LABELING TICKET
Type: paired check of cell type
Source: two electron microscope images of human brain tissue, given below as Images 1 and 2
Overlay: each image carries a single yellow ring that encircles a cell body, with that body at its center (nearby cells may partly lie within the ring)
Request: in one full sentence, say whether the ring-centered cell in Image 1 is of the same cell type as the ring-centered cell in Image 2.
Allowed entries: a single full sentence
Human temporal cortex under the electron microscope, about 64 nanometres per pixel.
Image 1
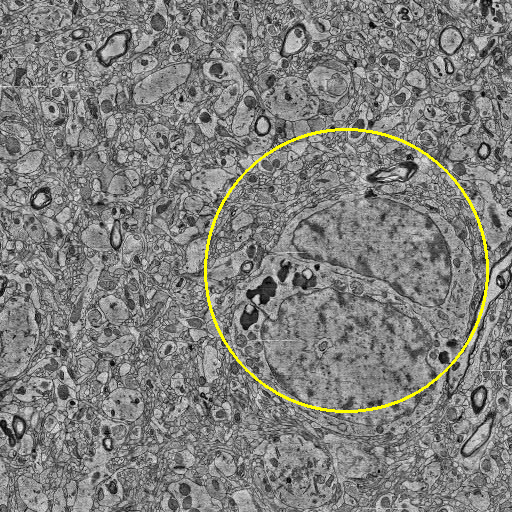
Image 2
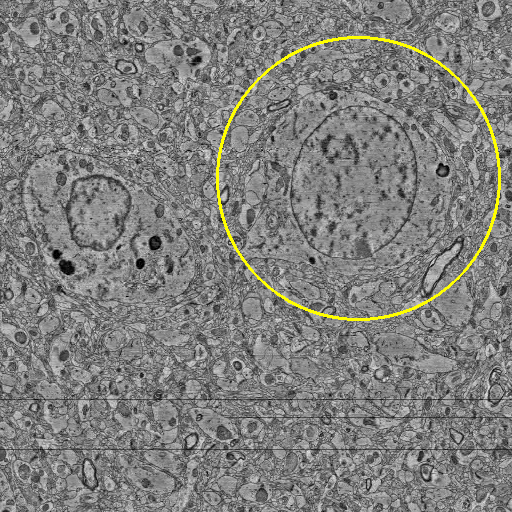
No, the cells centered in the rings of Image 1 and Image 2 are of two types.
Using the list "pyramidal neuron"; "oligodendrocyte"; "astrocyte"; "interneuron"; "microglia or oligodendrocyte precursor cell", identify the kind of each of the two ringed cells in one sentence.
The first is a microglial cell or oligodendrocyte precursor cell and the second is a pyramidal neuron.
